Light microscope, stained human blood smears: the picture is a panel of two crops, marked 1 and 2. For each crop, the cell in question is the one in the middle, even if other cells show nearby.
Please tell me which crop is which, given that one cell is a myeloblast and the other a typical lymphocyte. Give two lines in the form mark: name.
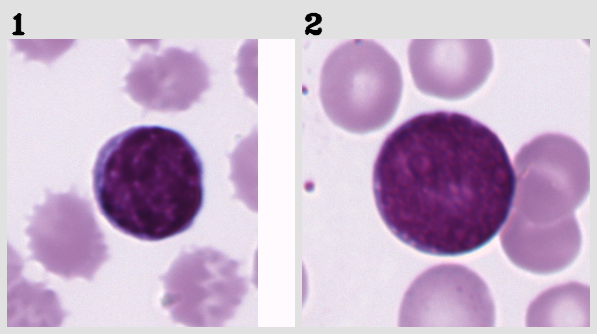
1: typical lymphocyte
2: myeloblast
